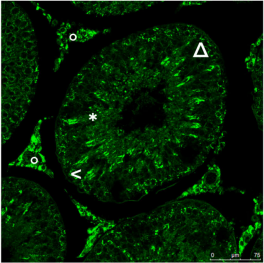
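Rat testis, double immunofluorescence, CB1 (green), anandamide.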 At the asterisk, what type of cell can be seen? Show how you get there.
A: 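The asterisk sits among slender bright green streaks in the adluminal part of the tubule. The streaks point toward the central lumen. So: Elongated spermatids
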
